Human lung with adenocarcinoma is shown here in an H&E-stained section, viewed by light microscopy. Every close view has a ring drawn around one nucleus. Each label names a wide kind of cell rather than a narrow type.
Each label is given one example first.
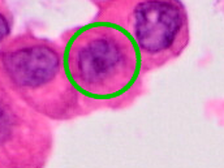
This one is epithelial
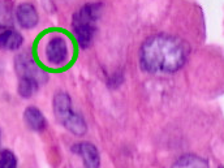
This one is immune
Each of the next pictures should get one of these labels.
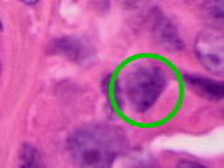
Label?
epithelial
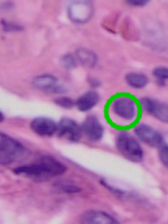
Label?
immune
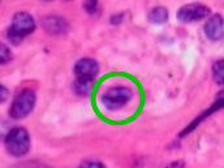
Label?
immune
